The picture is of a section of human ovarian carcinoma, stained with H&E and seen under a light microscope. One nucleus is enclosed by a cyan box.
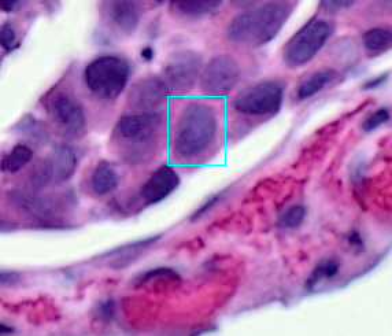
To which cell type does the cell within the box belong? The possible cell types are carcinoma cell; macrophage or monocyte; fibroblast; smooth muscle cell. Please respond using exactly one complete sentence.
Within this tissue, the cell within the box is a carcinoma cell.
